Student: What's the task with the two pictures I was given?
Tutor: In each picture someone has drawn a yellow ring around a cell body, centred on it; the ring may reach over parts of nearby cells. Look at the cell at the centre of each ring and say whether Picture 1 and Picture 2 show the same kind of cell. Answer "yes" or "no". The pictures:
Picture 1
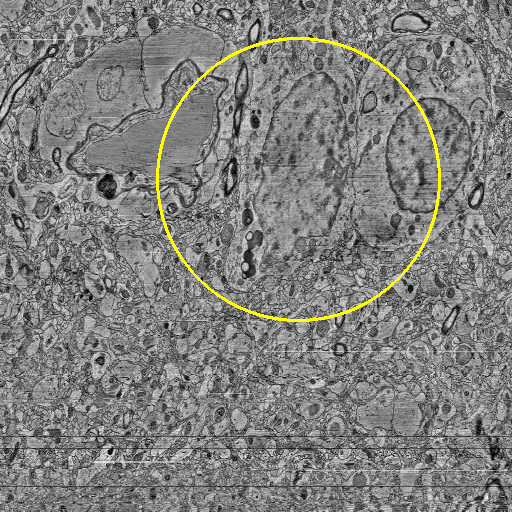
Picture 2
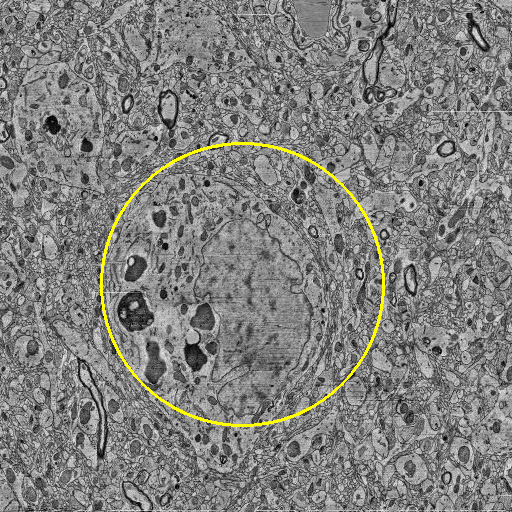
yes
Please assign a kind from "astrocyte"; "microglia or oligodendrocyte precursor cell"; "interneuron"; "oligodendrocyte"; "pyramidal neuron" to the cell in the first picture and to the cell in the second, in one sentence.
Each of the two rings is centred on an interneuron.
